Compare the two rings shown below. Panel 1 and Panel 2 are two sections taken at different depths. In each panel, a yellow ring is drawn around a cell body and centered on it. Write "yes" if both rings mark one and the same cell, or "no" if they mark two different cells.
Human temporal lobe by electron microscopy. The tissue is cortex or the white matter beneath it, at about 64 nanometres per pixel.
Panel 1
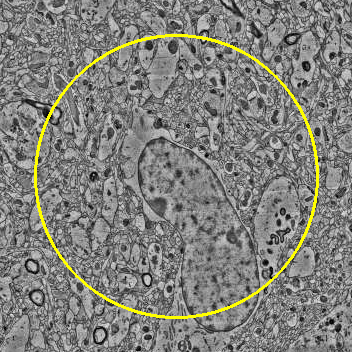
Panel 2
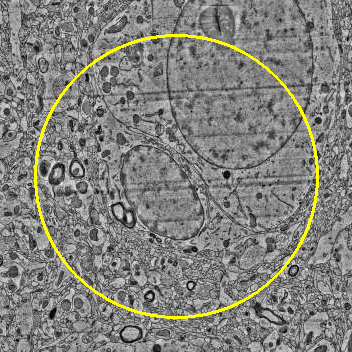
no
